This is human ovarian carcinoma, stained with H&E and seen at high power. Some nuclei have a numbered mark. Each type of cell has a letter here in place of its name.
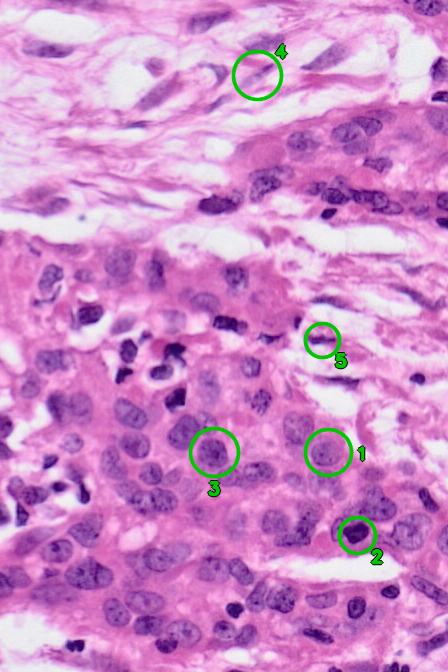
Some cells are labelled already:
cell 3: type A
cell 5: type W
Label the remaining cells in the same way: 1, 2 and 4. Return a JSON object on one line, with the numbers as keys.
{"1": "type A", "2": "type A", "4": "type W"}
